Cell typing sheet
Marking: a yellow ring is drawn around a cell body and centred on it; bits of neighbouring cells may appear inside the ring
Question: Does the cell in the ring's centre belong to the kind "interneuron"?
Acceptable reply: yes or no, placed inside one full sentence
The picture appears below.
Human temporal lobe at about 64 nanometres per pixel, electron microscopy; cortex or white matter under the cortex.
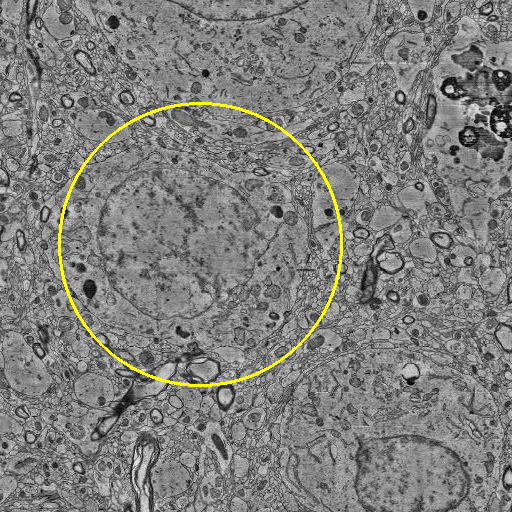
Yes, the cell in the centre of the ring is of the kind asked about.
